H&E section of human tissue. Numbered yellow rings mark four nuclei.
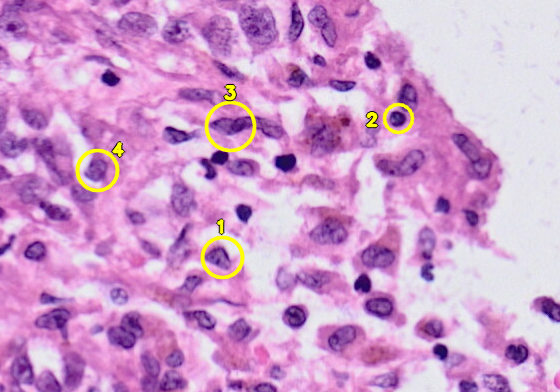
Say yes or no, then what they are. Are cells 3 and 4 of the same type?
No, that does not hold; cell 3 is a macrophage or monocyte and cell 4 is a melanoma cell.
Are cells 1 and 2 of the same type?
No, cell 1 is a macrophage or monocyte, and cell 2 is, by contrast, a lymphocyte.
